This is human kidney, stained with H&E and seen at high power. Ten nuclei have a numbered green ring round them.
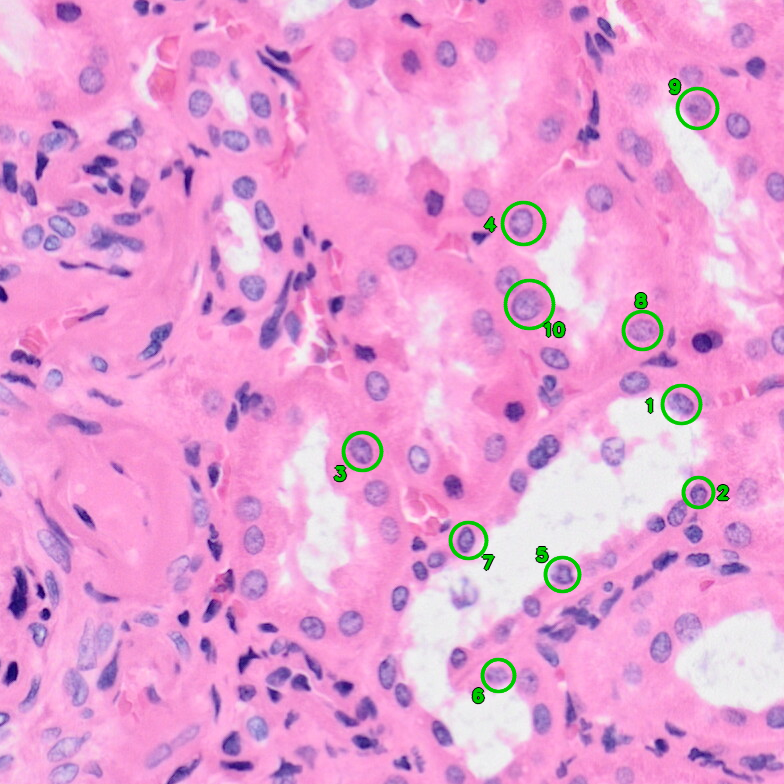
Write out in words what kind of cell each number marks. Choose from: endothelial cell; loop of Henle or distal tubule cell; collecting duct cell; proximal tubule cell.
Cell 1 is a loop of Henle or distal tubule cell, cell 2 is a loop of Henle or distal tubule cell, cell 3 is a proximal tubule cell, cell 4 is a proximal tubule cell, cell 5 is a loop of Henle or distal tubule cell, cell 6 is a loop of Henle or distal tubule cell, cell 7 is a loop of Henle or distal tubule cell, cell 8 is a proximal tubule cell, cell 9 is a proximal tubule cell and cell 10 is a proximal tubule cell.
